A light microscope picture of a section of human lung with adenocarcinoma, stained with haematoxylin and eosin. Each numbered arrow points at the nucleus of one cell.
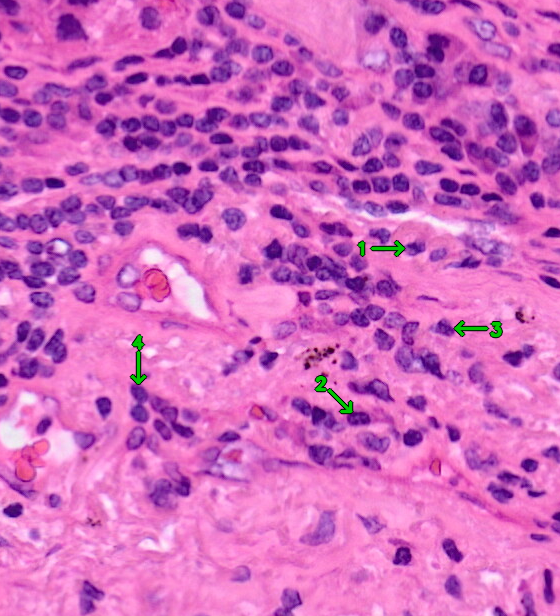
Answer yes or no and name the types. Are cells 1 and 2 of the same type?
No, with respect, cell 1 is a lymphocyte and cell 2 is a plasma cell.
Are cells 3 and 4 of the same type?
Yes, the two cells marked 3 and 4 are both lymphocytes.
